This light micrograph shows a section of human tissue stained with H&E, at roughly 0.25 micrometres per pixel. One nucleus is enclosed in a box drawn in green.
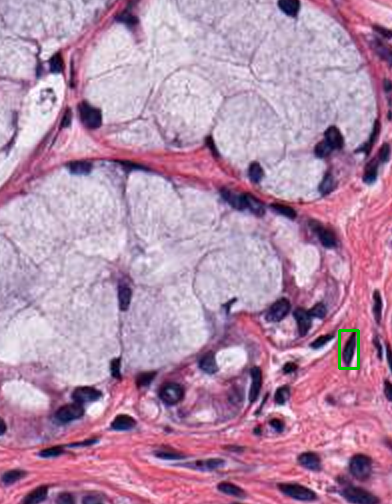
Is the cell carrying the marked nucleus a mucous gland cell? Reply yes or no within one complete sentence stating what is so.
No, rather than a mucous gland cell, it is a supporting cell that contains the marked nucleus.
